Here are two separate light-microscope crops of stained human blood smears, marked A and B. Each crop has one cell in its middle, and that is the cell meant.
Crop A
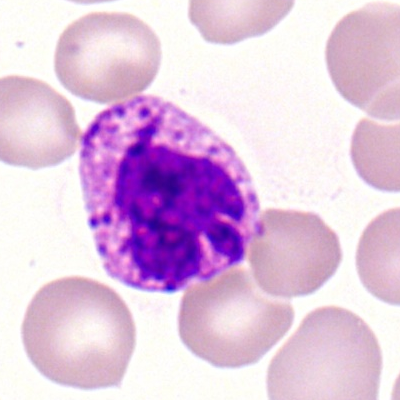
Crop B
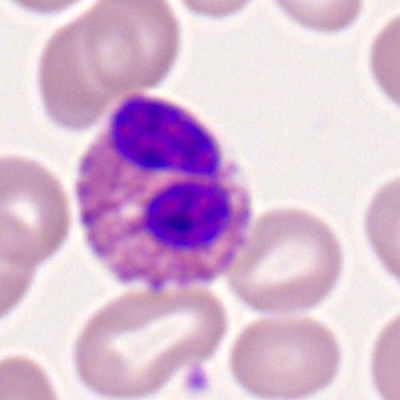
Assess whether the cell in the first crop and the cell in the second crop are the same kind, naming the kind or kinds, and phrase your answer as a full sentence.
No, crop A shows a basophil and crop B an eosinophil.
